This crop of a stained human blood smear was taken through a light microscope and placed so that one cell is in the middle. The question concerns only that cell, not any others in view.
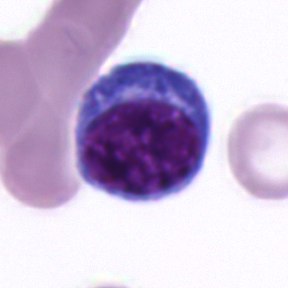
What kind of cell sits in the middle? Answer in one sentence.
The central cell shown in this smear crop is a plasma cell.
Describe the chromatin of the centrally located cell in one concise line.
The nucleus shows chromatin that is coarsely clumped.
